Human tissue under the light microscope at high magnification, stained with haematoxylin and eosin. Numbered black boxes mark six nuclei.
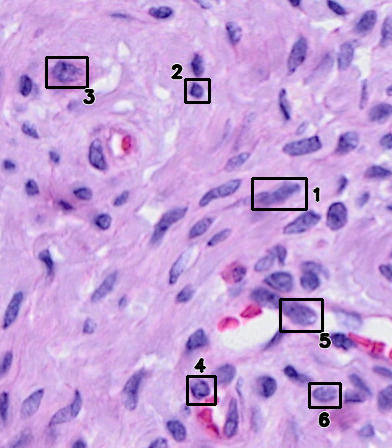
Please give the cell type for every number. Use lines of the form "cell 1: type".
cell 1: fibroblast
cell 2: fibroblast
cell 3: endothelial cell
cell 4: endothelial cell
cell 5: endothelial cell
cell 6: fibroblast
